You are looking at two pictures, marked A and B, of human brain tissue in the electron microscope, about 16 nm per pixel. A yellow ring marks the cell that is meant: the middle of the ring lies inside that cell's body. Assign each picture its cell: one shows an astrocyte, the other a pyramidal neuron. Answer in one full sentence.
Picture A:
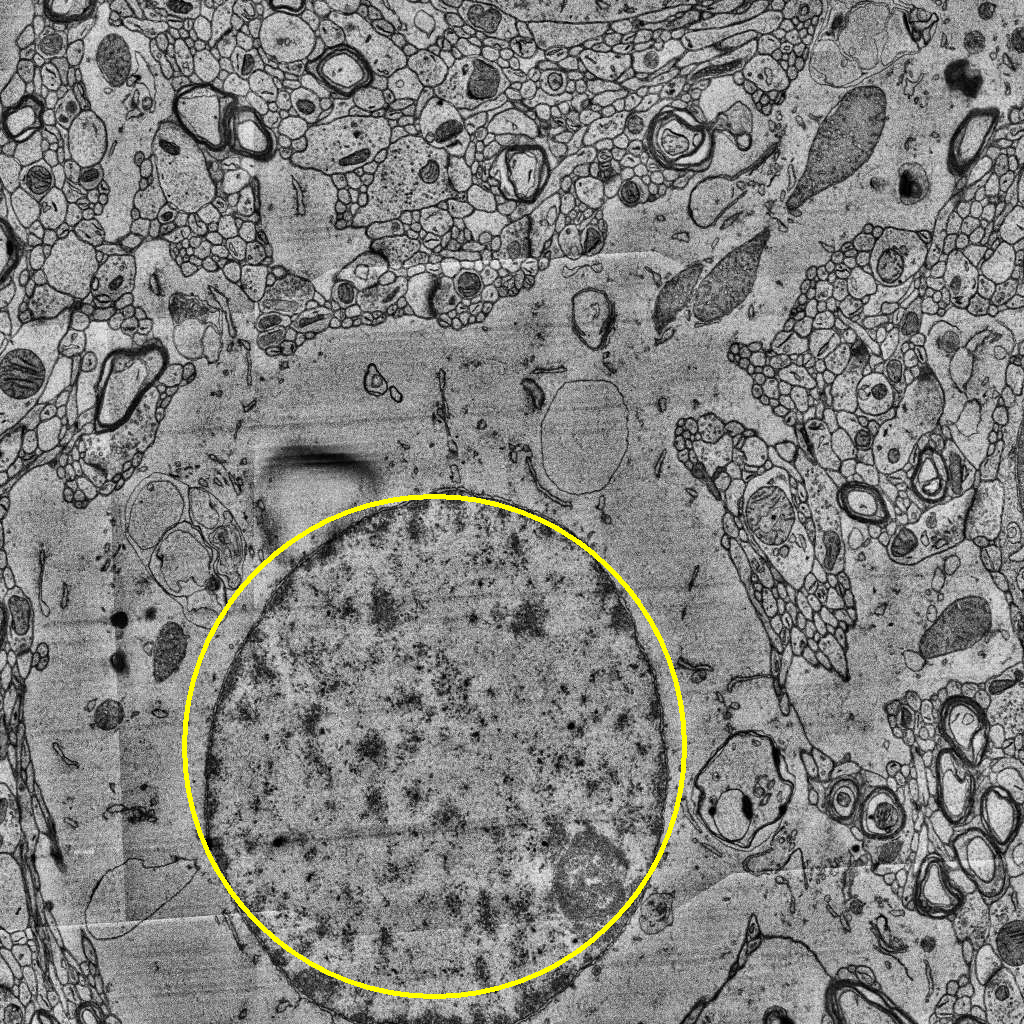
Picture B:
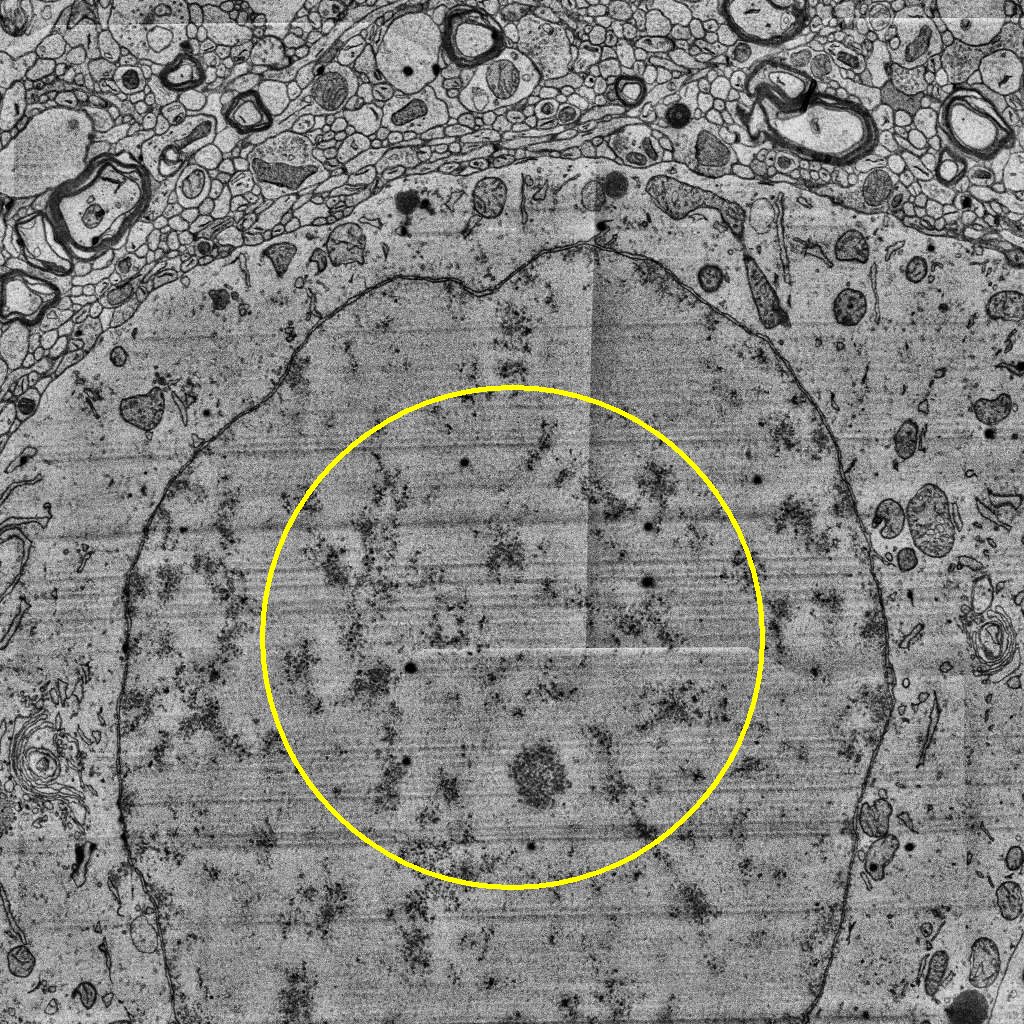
The cell in picture A is an astrocyte, and the one in picture B is a pyramidal neuron.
